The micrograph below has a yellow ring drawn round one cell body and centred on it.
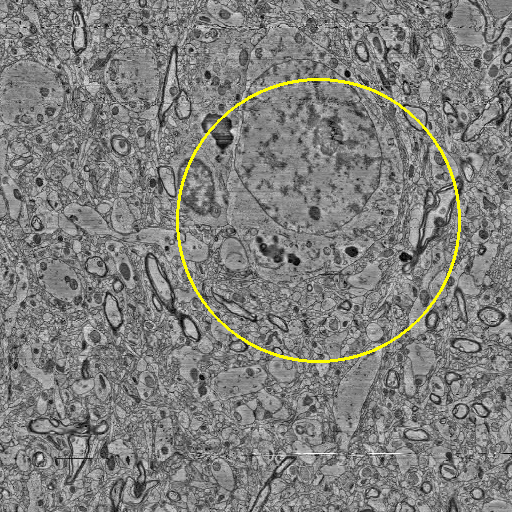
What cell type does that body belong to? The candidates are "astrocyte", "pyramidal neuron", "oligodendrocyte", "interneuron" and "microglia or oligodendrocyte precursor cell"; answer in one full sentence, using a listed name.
This is a pyramidal neuron, the cell whose body lies at the centre of the ring.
